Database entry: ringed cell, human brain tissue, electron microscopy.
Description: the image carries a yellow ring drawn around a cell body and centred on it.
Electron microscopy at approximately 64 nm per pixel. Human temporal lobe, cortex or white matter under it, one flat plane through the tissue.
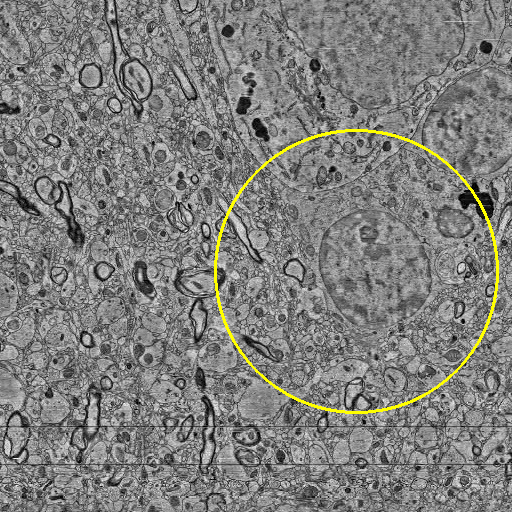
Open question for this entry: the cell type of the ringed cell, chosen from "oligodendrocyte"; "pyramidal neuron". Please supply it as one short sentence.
The ringed cell is an oligodendrocyte.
